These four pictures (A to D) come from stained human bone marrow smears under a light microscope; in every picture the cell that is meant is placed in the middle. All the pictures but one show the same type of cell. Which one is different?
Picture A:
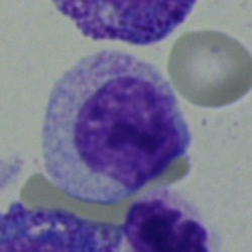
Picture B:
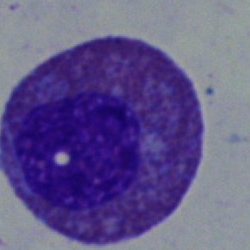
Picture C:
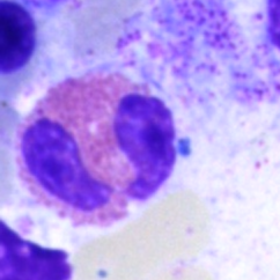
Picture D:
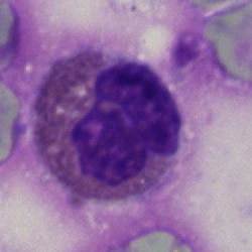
A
